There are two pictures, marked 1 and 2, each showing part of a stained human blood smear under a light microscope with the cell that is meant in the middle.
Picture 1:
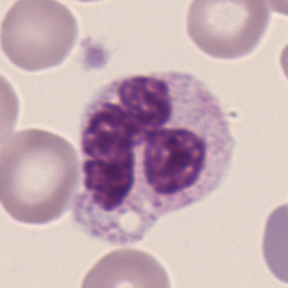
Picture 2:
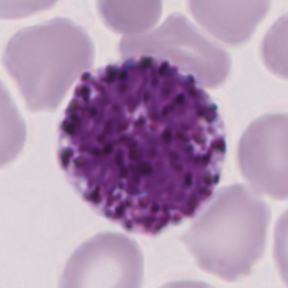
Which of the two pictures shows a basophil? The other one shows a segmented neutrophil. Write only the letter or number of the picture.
2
